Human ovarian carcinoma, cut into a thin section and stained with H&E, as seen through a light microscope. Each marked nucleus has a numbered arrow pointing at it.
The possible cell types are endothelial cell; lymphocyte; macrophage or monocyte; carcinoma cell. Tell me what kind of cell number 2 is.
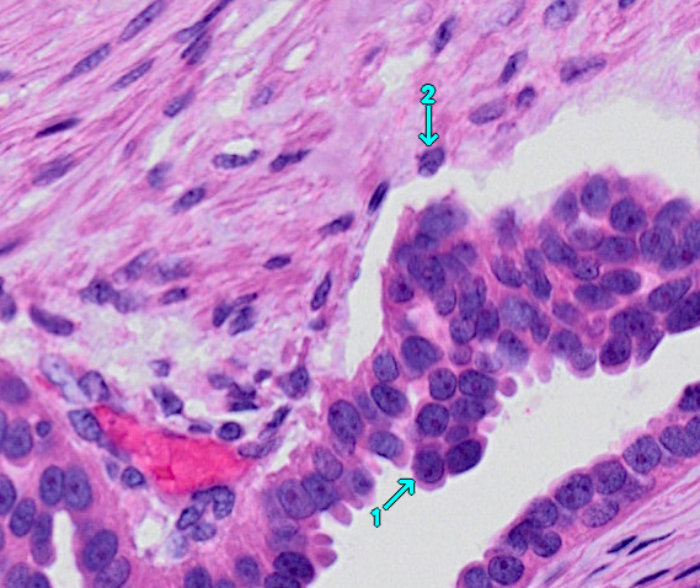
macrophage or monocyte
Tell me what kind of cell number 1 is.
carcinoma cell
